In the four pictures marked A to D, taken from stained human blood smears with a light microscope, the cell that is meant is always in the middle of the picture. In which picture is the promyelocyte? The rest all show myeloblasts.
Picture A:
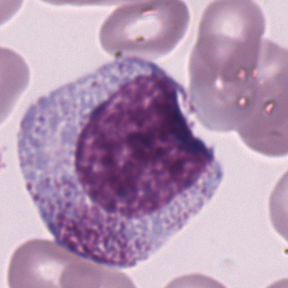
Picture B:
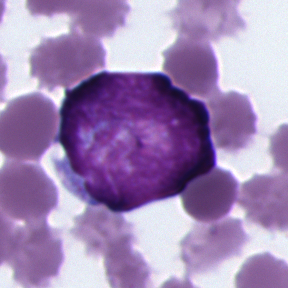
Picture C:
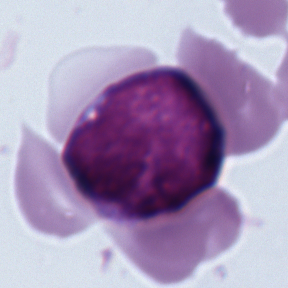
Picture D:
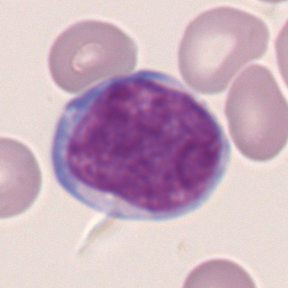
A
